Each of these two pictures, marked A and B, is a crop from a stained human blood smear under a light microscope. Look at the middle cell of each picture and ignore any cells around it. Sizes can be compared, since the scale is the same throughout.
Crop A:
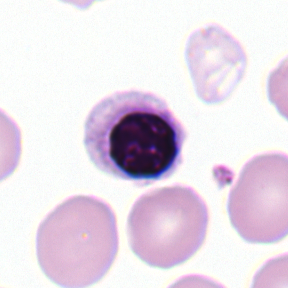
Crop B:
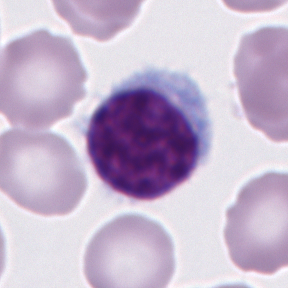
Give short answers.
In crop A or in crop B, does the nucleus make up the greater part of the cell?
B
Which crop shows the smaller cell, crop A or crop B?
A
